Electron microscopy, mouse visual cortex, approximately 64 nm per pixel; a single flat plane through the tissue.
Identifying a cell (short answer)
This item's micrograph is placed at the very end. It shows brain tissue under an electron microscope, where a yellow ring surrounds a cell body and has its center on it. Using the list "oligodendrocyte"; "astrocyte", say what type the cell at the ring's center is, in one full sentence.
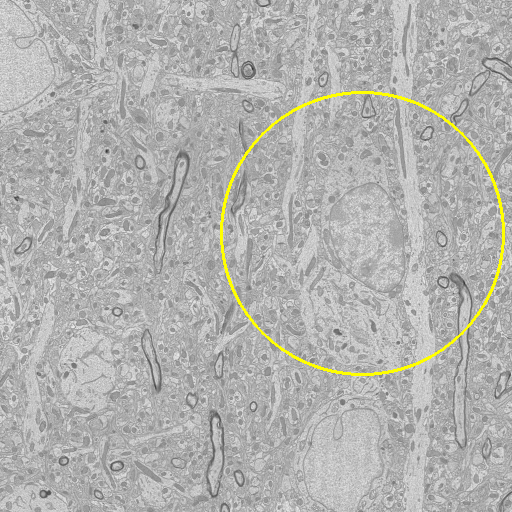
This picture shows an oligodendrocyte at the center of the yellow ring drawn on it.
